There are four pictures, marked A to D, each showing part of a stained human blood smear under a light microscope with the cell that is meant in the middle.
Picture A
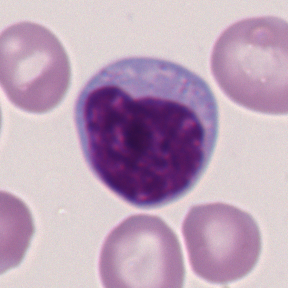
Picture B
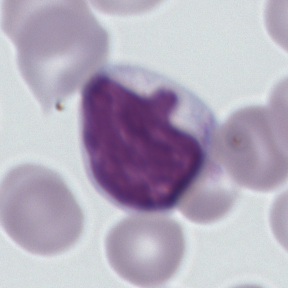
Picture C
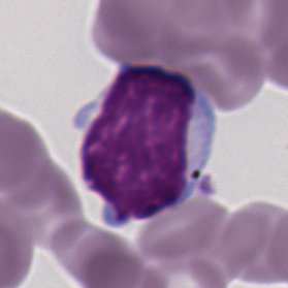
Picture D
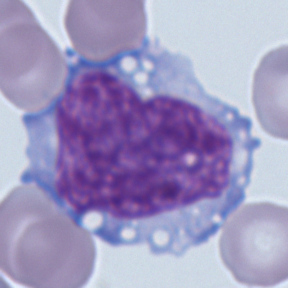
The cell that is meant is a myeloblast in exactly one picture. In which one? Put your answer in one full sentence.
The cell in picture D is the myeloblast.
